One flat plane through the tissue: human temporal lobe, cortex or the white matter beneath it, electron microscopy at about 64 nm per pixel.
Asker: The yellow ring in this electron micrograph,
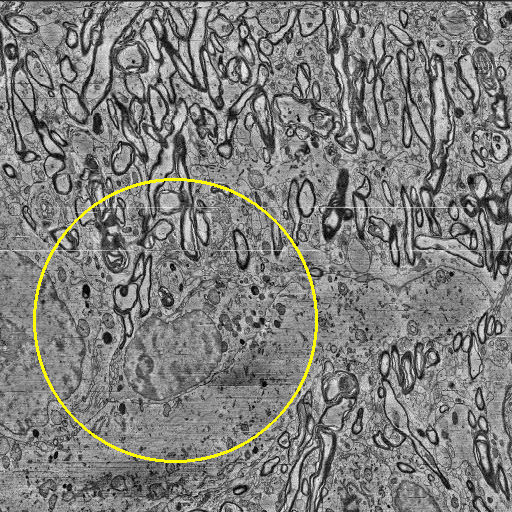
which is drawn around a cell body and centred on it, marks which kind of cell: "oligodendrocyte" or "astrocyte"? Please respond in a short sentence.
The marked cell is an oligodendrocyte.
